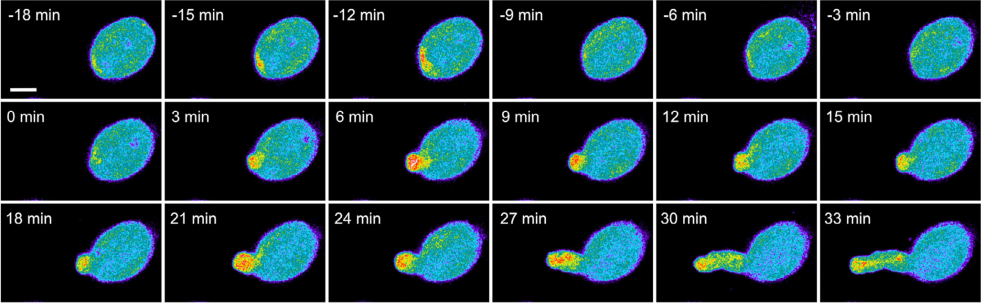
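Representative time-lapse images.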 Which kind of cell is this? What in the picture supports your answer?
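Pollen. A single oval cell about the size of a pollen grain. From the 0 min frame onward a tube grows out from one side of the oval cell.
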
